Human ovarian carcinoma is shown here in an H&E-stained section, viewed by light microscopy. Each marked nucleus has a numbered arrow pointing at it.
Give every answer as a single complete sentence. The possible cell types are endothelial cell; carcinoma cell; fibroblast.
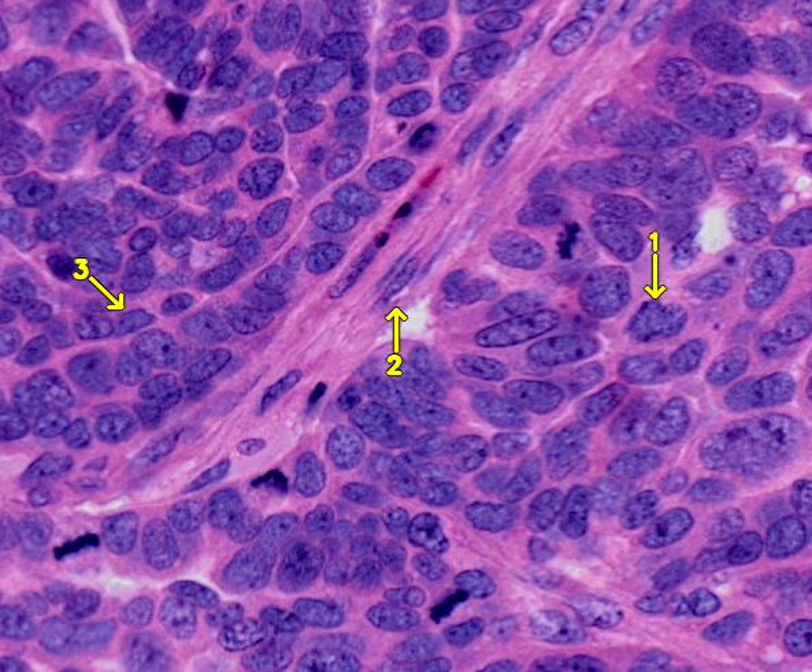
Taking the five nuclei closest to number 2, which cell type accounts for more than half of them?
Of the five nuclei nearest to number 2, most belong to endothelial cells.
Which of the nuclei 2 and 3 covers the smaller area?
Number 3 is smaller, since number 2 takes up about 1.5 times as much area.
